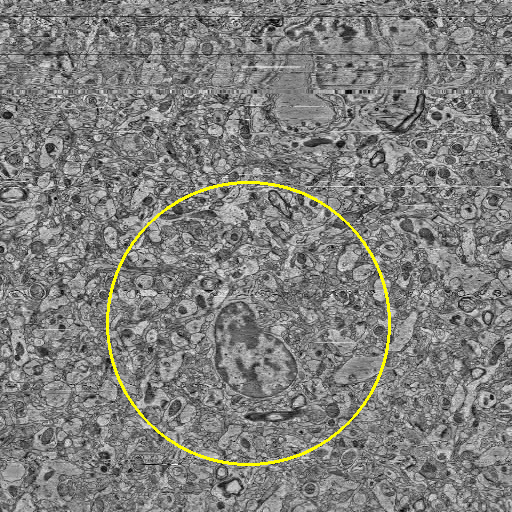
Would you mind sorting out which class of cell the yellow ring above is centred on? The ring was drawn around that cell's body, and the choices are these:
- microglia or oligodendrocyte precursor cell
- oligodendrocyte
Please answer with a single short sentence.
This is the cell body of a microglial cell or oligodendrocyte precursor cell.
